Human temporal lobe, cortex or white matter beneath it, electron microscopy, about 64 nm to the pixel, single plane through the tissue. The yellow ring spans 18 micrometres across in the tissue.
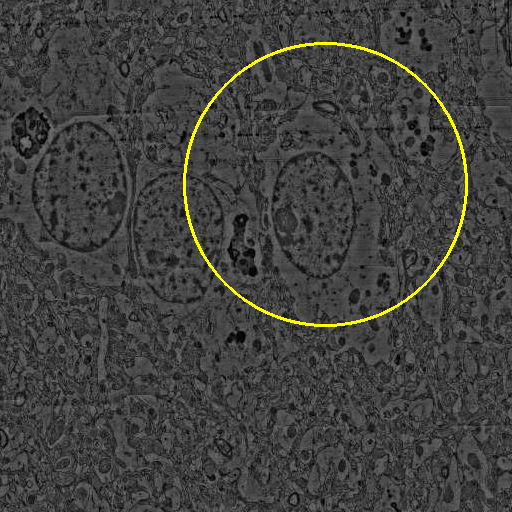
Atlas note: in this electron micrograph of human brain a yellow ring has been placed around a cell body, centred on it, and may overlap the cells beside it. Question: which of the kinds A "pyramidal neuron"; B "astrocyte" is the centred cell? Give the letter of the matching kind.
B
